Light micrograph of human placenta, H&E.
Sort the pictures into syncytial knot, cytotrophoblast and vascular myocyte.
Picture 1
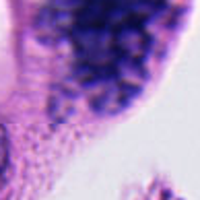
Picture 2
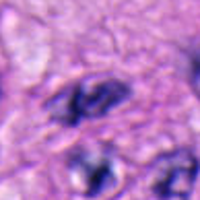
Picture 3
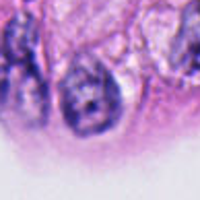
Syncytial knots: 1
Vascular myocytes: 2
Cytotrophoblasts: 3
